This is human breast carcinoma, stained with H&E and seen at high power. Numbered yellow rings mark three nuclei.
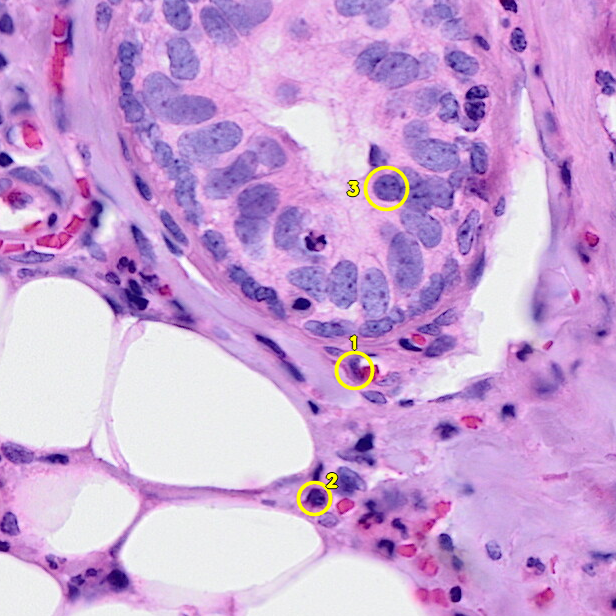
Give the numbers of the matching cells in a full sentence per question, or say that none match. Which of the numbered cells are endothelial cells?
Cell 1 is an endothelial cell, and it is the only one.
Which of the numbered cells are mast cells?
Cell 2 is a mast cell, while every other numbered cell is not.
